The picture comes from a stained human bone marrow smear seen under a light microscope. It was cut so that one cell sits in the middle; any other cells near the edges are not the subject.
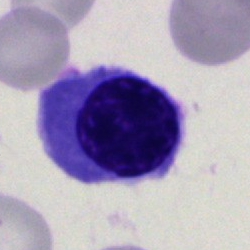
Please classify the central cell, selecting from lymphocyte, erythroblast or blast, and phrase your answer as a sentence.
The middle position in this crop is taken by an erythroblast.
